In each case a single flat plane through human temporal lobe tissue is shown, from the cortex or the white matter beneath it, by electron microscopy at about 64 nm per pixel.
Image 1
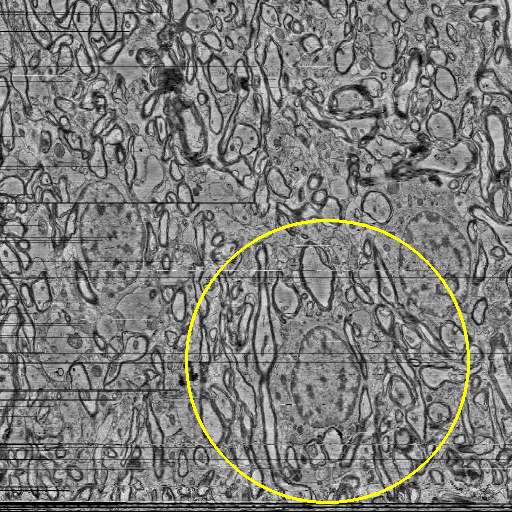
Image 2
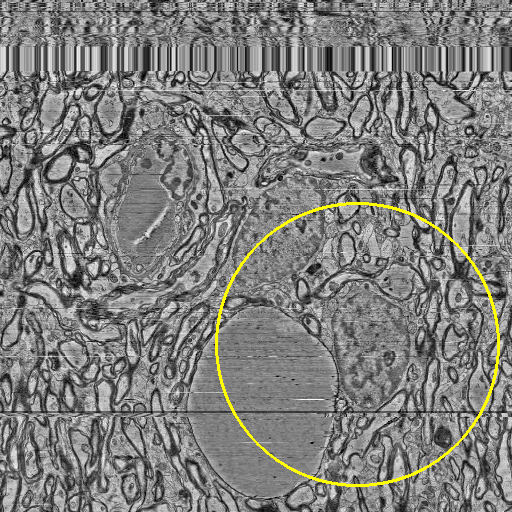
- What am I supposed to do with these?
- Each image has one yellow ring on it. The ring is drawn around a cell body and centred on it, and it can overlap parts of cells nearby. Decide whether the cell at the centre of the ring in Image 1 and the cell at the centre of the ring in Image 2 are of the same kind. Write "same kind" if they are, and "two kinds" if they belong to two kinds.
same kind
